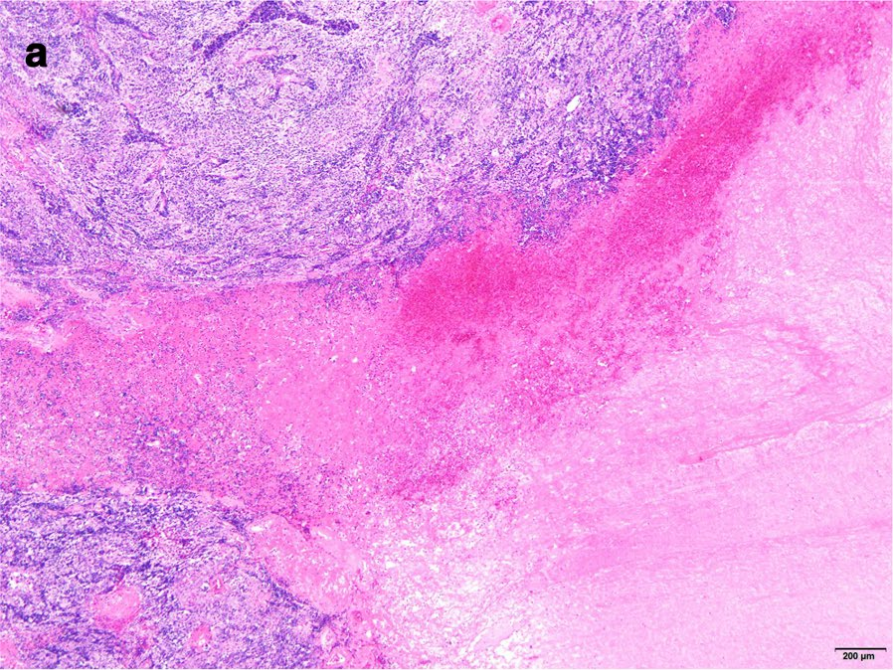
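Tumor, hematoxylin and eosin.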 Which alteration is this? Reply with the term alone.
Extensive hemorrhagic necrosis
